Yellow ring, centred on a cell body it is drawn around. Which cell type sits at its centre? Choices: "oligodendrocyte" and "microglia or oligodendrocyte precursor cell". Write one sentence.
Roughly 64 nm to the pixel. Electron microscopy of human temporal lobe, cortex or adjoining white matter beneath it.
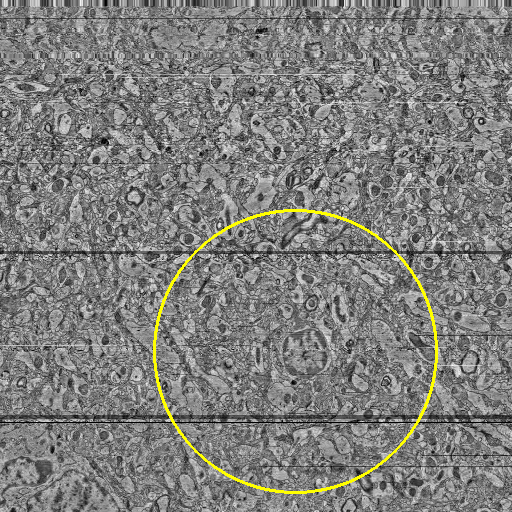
At the centre of the ring sits a microglial cell or oligodendrocyte precursor cell.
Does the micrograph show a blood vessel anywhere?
No, the image shows no blood vessel.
